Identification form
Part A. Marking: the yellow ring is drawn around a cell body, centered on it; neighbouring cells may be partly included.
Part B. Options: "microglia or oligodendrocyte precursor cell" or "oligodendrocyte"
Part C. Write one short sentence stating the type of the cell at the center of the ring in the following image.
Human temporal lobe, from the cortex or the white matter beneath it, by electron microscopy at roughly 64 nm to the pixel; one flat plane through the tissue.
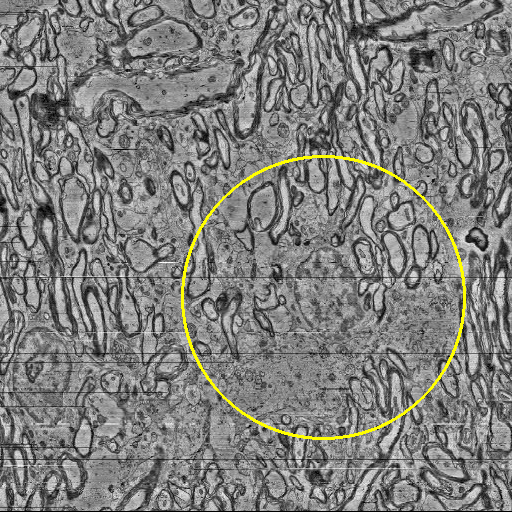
The center of the ring holds an oligodendrocyte.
